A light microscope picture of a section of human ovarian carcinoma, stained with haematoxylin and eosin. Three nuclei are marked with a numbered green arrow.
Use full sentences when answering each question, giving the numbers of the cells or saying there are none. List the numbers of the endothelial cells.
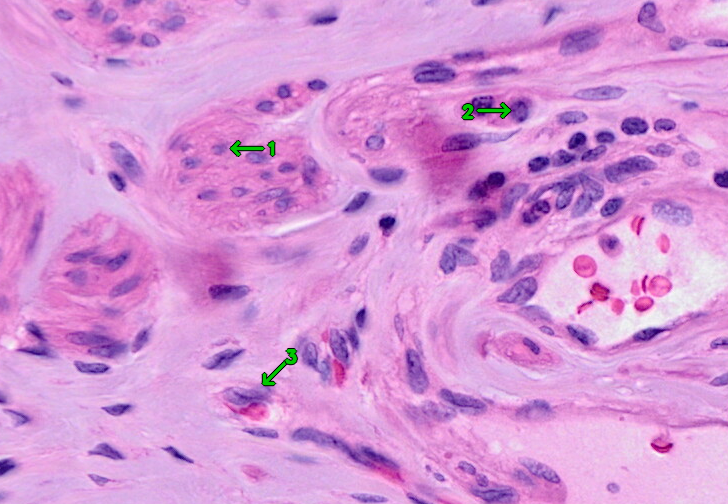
There is only one numbered cell that is an endothelial cell, and it is cell 3.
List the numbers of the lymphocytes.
Cell 2 is the one numbered cell that is a lymphocyte.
